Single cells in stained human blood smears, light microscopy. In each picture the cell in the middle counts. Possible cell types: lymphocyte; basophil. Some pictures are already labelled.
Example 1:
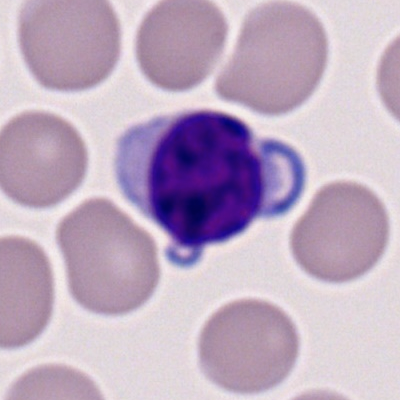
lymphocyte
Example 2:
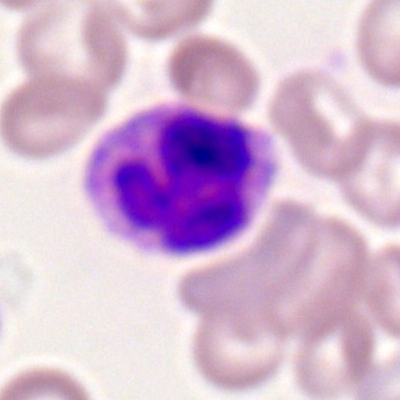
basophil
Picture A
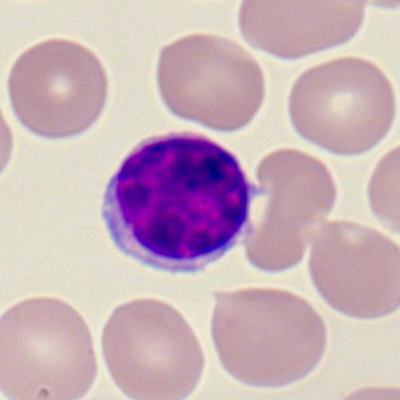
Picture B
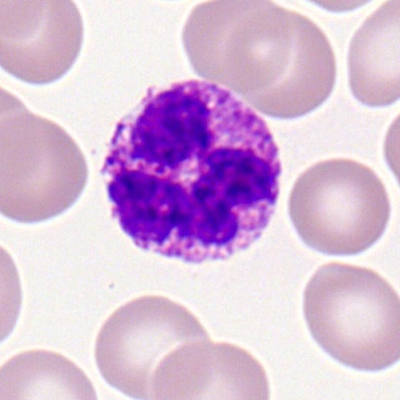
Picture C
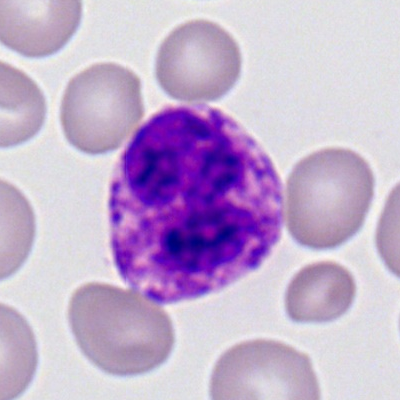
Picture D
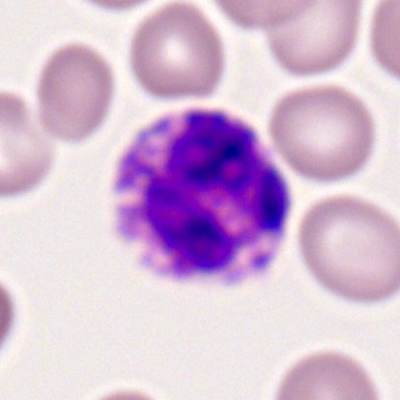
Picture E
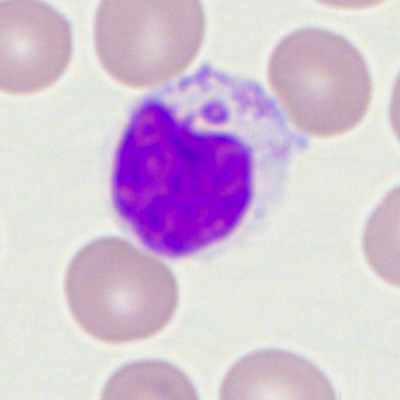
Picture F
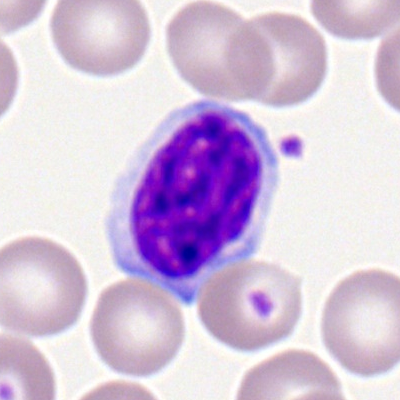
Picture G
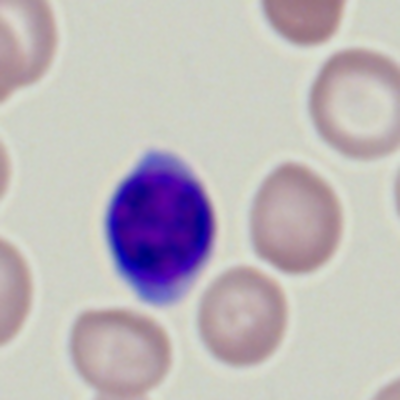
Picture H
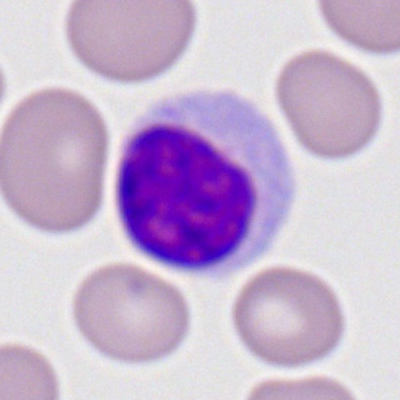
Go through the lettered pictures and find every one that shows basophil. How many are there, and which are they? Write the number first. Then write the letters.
Count: 3 (B, C, D)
